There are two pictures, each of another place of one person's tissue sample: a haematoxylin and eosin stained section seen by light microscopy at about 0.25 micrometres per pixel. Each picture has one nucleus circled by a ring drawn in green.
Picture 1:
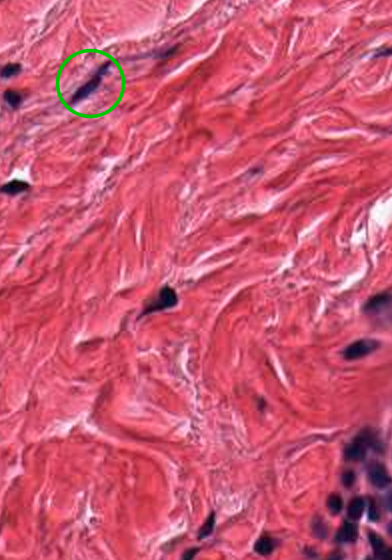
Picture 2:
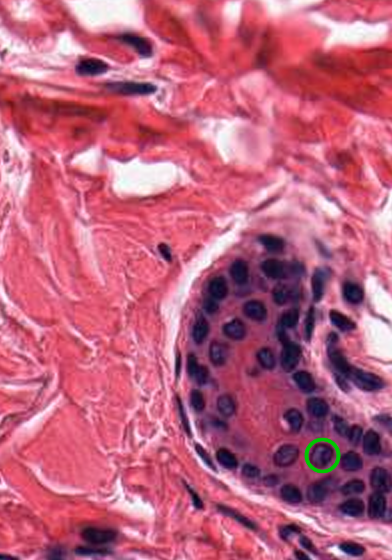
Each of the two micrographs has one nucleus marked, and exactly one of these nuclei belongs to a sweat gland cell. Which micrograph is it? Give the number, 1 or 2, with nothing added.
2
